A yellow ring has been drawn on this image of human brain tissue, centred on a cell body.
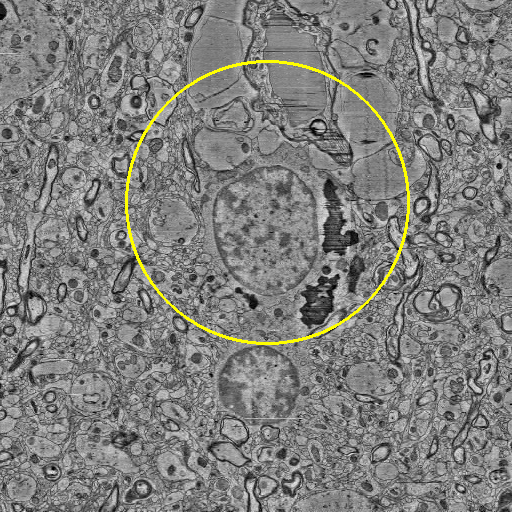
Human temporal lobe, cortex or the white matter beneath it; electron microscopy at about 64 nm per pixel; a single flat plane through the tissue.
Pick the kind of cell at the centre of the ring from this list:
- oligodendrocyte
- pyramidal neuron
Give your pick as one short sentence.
The centre of the ring holds an oligodendrocyte.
